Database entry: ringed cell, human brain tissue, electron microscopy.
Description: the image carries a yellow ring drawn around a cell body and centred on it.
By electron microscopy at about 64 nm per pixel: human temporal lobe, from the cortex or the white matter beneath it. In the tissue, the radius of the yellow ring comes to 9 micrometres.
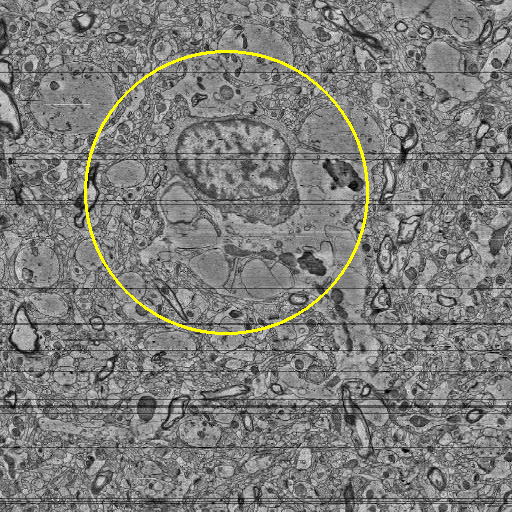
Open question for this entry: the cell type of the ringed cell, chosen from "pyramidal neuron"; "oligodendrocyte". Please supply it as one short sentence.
The ringed cell is an oligodendrocyte.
